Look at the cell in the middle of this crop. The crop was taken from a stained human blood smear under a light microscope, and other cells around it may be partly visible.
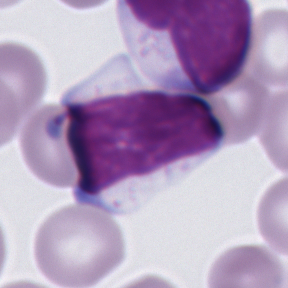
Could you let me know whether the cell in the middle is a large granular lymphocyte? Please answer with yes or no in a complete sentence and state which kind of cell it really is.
Yes, the cell that lies centrally is a large granular lymphocyte.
